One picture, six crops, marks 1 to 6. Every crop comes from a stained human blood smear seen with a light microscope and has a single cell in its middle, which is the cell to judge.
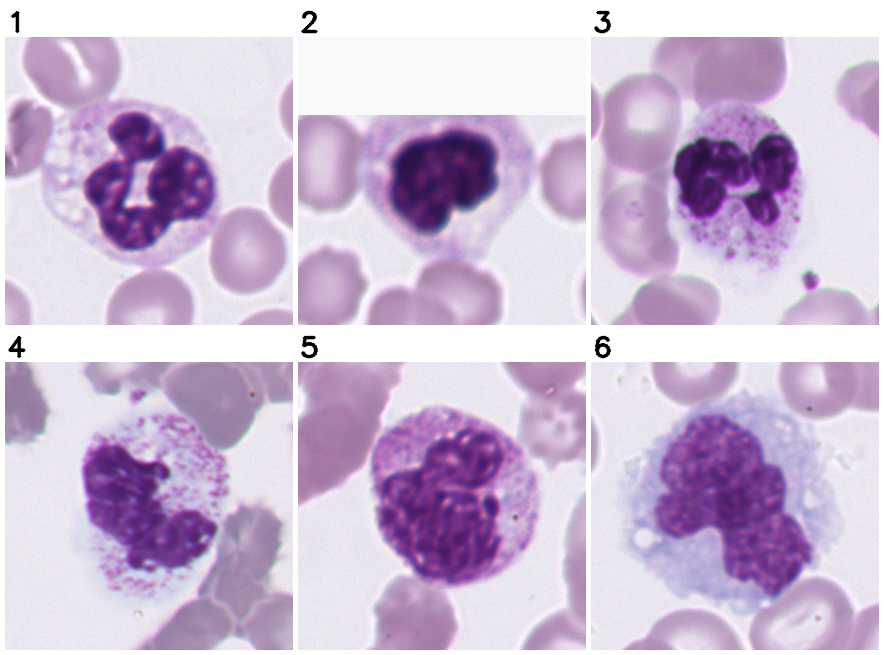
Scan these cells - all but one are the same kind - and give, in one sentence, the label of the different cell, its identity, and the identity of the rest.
A different cell type, a monocyte, occupies crop 6; the other crops show segmented neutrophils.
